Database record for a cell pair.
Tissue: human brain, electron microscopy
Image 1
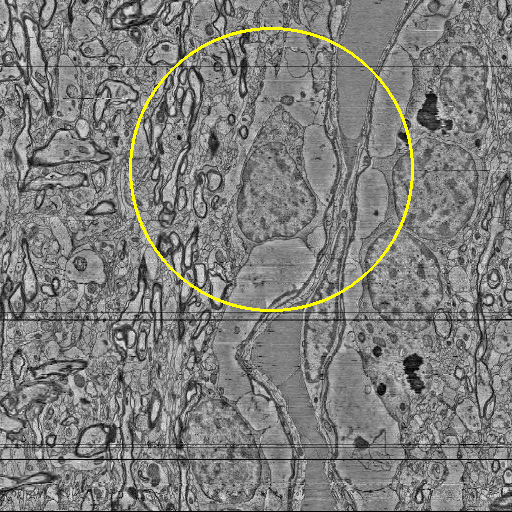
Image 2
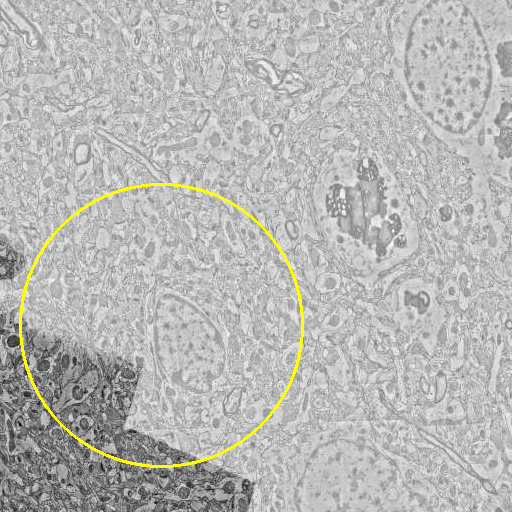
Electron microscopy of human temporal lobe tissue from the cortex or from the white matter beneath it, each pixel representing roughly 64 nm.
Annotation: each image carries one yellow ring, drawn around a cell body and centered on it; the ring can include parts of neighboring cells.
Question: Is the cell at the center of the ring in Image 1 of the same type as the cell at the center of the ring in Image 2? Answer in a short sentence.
No, the cells are of two types.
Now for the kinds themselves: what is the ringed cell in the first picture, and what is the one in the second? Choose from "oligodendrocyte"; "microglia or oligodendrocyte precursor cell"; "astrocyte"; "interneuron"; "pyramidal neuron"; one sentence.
Here the first cell is an oligodendrocyte and the second cell is a microglial cell or oligodendrocyte precursor cell.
